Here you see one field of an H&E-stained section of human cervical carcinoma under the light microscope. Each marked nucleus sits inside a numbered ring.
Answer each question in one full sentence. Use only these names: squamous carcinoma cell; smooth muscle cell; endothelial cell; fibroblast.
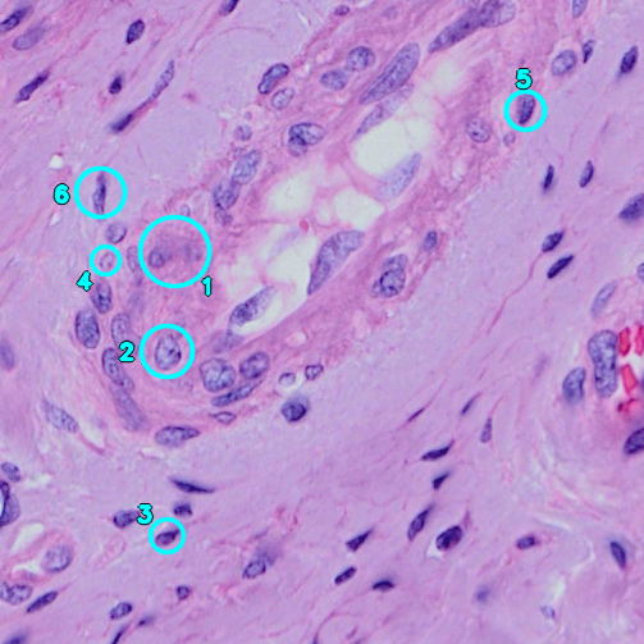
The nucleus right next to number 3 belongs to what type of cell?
The nearest nucleus to number 3 belongs to a fibroblast.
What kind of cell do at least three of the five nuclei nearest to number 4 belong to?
Of the five nuclei nearest to number 4, most belong to smooth muscle cells.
